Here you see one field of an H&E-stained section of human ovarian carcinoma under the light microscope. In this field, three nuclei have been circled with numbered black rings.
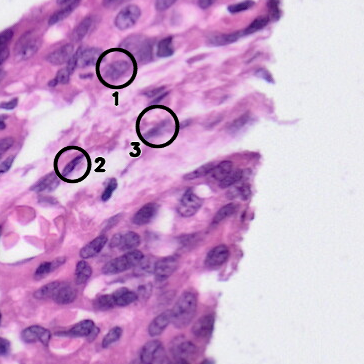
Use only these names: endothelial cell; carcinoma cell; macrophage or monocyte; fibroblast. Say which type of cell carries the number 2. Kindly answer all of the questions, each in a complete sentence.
In this section, the cell tagged 2 is a fibroblast.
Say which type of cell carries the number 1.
The identity of cell 1 is that of a carcinoma cell.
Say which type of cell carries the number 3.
The cell indicated with the number 3 is classed as a fibroblast.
